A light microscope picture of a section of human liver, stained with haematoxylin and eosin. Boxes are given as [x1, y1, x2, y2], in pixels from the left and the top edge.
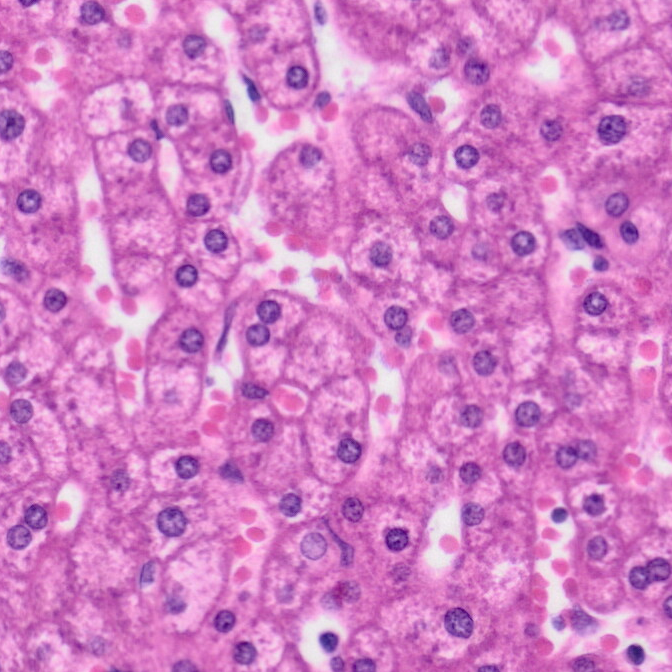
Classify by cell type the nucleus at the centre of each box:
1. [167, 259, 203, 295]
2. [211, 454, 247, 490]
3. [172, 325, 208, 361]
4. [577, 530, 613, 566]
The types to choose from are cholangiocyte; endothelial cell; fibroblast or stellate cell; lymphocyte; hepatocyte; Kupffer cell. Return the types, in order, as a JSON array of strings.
["hepatocyte", "endothelial cell", "hepatocyte", "hepatocyte"]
